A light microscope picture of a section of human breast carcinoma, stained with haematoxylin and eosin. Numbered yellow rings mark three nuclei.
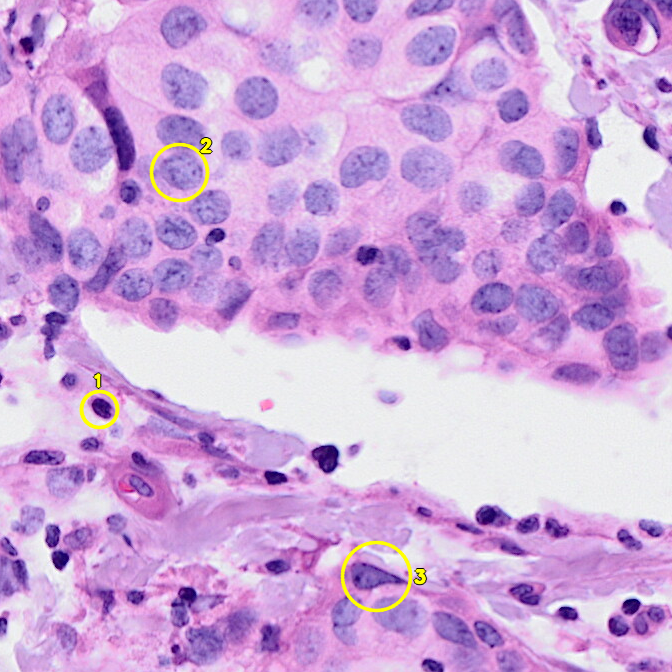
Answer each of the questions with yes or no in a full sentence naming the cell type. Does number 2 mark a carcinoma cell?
Yes, cell number 2 in this section is a carcinoma cell.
